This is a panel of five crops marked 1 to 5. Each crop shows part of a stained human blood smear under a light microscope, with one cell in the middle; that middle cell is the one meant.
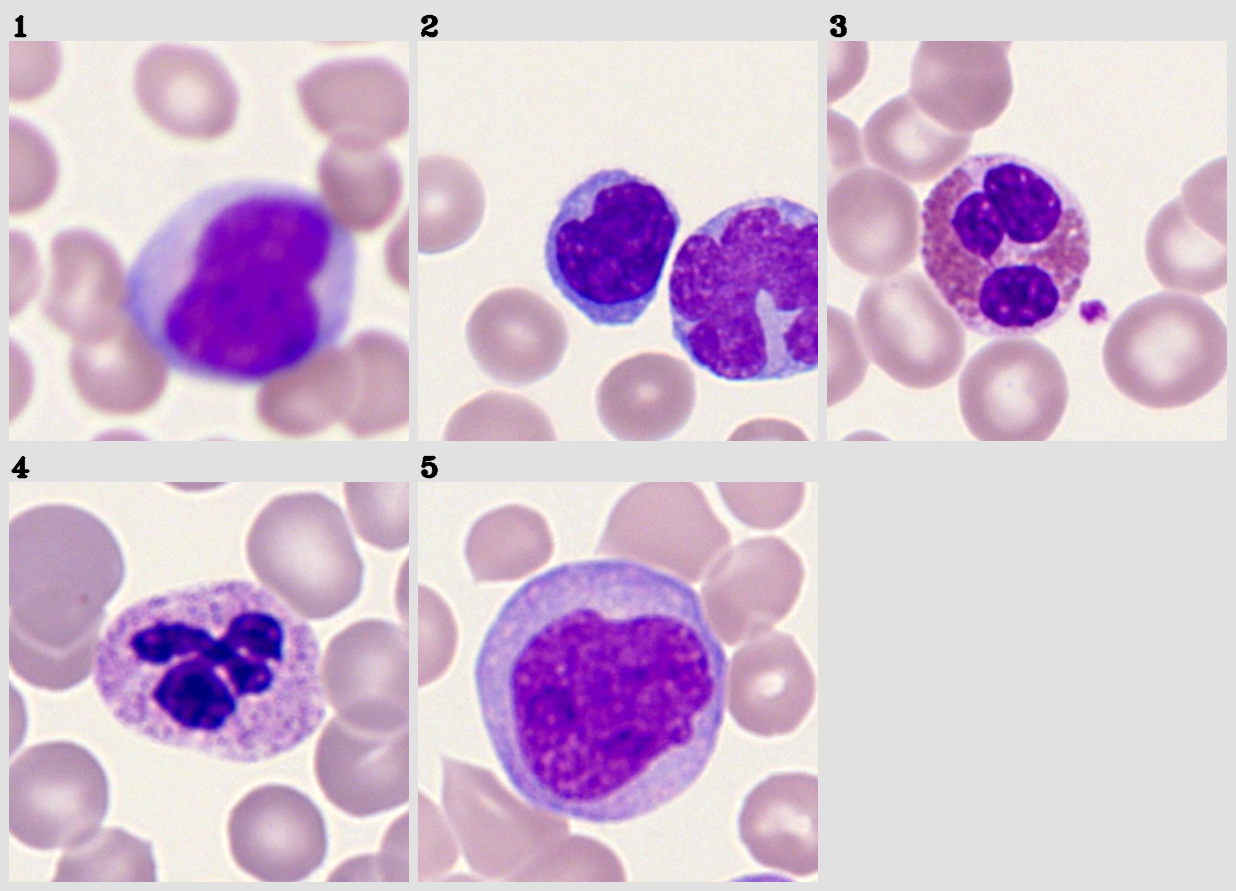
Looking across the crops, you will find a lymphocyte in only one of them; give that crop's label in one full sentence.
Crop 2 shows a lymphocyte, and no other crop does.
